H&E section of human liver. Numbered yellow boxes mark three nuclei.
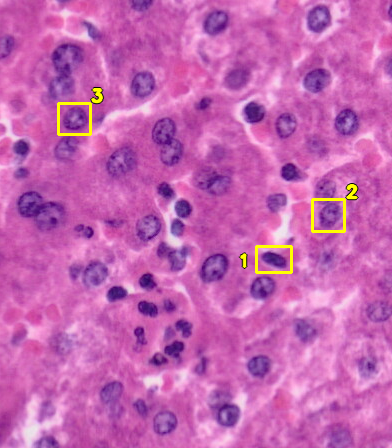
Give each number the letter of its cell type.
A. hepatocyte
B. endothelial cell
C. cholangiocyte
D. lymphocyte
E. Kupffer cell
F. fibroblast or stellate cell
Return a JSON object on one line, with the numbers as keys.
{"1": "F", "2": "A", "3": "A"}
